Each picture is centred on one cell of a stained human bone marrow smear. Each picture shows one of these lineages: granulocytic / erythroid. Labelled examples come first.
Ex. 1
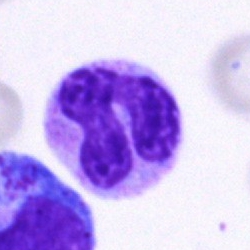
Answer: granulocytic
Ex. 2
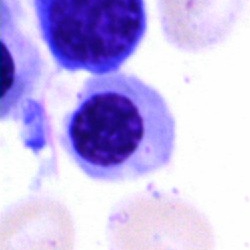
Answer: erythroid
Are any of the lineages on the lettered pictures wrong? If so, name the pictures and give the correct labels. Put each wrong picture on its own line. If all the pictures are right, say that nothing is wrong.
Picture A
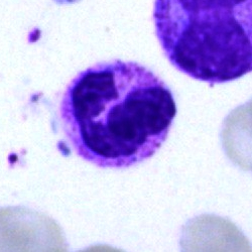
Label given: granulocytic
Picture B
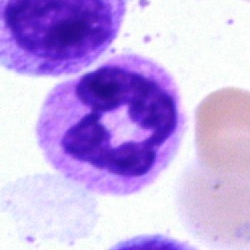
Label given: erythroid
B should be granulocytic, not erythroid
